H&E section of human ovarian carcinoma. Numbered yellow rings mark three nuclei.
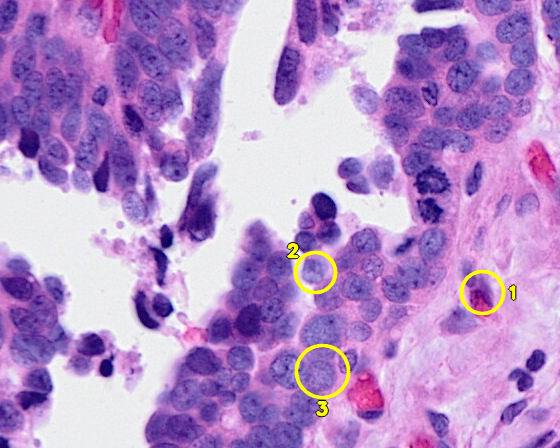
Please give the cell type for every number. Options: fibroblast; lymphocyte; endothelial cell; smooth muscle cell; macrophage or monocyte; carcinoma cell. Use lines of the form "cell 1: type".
cell 1: endothelial cell
cell 2: carcinoma cell
cell 3: carcinoma cell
